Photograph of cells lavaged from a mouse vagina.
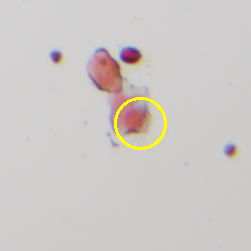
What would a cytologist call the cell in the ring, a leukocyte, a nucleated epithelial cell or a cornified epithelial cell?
A cytologist would call it a nucleated epithelial cell.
